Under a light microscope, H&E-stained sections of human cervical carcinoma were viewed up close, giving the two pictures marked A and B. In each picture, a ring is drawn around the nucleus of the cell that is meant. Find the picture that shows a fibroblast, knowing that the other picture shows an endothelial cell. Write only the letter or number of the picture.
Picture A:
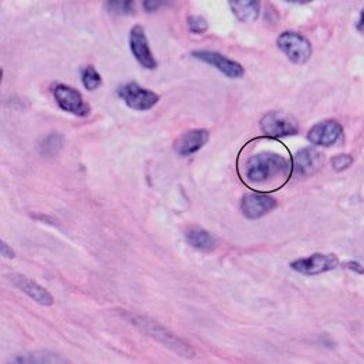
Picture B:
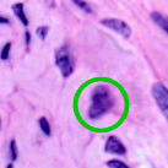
B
